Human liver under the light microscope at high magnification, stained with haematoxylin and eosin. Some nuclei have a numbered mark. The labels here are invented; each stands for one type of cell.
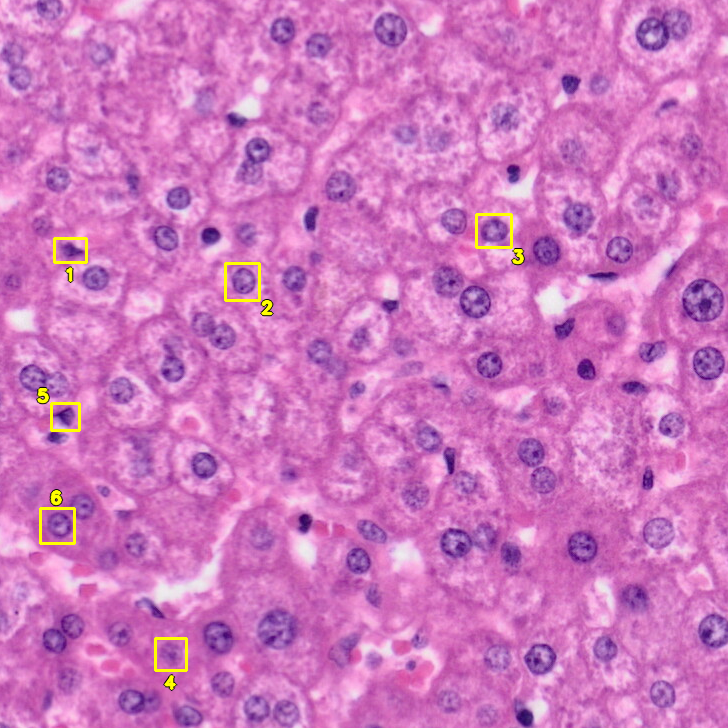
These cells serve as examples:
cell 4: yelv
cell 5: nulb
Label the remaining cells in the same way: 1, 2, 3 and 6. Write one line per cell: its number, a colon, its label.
1: nulb
2: yelv
3: yelv
6: yelv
